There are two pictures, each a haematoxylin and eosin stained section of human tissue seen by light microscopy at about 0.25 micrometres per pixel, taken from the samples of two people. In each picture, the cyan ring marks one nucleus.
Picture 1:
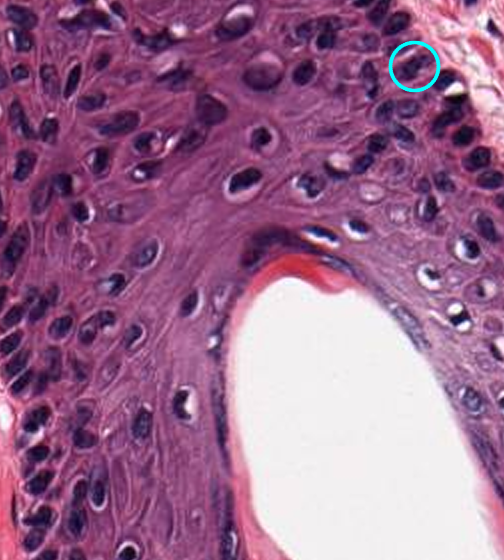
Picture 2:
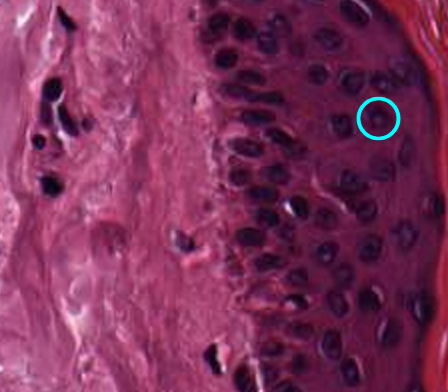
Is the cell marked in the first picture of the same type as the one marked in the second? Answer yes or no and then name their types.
Yes, both are keratinocytes.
